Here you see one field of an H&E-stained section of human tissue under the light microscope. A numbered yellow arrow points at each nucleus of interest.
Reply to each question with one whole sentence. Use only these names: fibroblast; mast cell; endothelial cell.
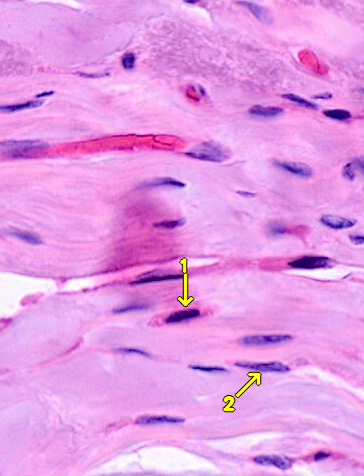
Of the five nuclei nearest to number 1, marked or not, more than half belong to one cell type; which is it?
Fibroblasts account for more than half of the five nuclei nearest to number 1.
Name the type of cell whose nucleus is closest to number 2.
Number 2 lies closest to the nucleus of a fibroblast.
